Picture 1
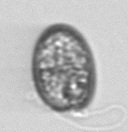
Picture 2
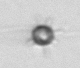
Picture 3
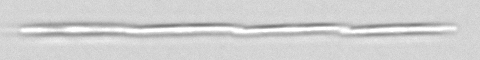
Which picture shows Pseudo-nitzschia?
Picture 3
